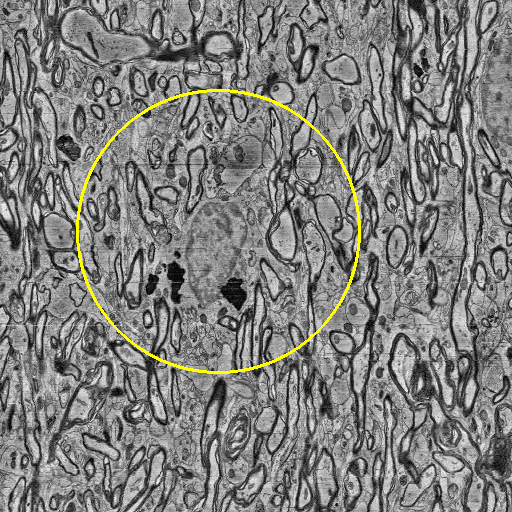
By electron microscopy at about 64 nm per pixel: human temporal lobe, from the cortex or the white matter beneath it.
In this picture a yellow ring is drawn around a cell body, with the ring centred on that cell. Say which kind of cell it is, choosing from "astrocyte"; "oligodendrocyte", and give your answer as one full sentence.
Here it is an oligodendrocyte that sits at the centre of the drawn yellow ring.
